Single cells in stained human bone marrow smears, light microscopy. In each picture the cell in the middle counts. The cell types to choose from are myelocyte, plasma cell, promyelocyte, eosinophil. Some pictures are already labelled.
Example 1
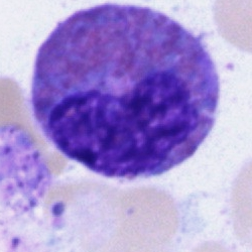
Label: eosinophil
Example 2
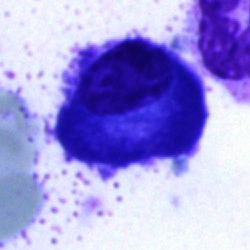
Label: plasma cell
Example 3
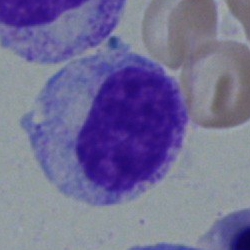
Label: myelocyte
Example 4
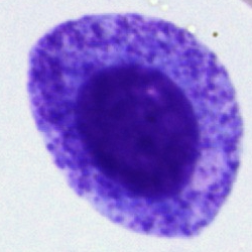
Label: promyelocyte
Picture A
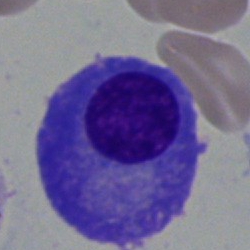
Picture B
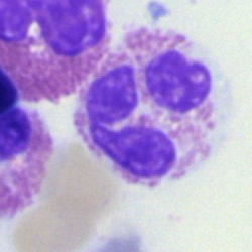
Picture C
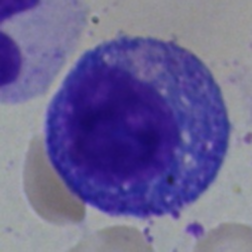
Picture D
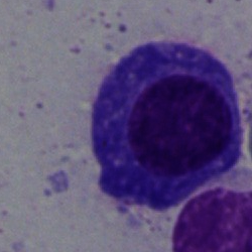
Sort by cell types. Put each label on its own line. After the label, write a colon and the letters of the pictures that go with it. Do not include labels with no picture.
plasma cell: A, D
promyelocyte: C
eosinophil: B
